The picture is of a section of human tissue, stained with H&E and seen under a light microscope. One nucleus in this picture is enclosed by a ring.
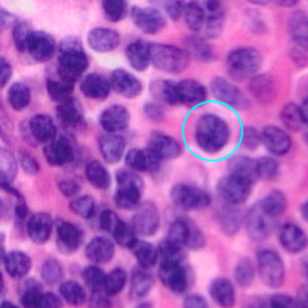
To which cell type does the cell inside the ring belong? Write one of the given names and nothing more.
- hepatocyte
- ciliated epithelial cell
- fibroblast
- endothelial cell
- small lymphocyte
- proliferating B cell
proliferating B cell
